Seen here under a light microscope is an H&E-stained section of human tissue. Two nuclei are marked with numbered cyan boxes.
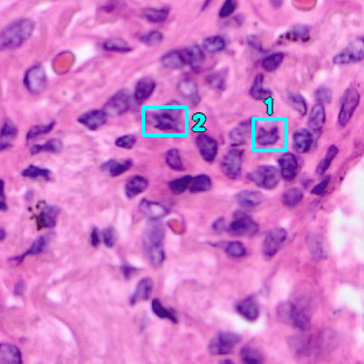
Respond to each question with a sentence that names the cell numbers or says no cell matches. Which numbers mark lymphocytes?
Among all the marked cells, a lymphocyte is found only at number 1.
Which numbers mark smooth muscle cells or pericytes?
None of the cells labelled with numbers belong to the smooth muscle cells or pericytes.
